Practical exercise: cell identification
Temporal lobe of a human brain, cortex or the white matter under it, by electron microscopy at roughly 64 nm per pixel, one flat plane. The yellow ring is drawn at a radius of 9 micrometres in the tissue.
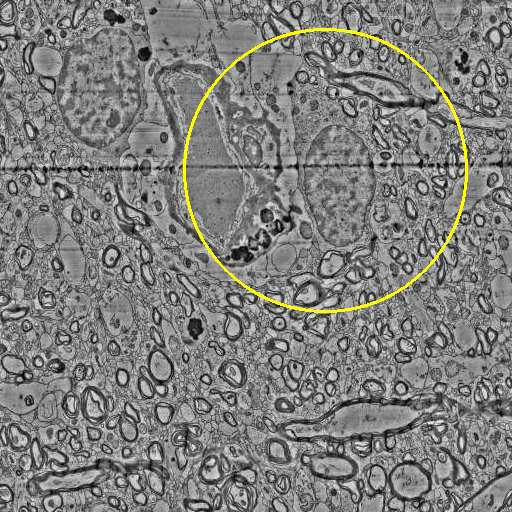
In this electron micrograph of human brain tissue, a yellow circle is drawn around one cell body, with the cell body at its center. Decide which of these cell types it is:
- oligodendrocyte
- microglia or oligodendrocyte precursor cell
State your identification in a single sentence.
The ringed cell is an oligodendrocyte.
